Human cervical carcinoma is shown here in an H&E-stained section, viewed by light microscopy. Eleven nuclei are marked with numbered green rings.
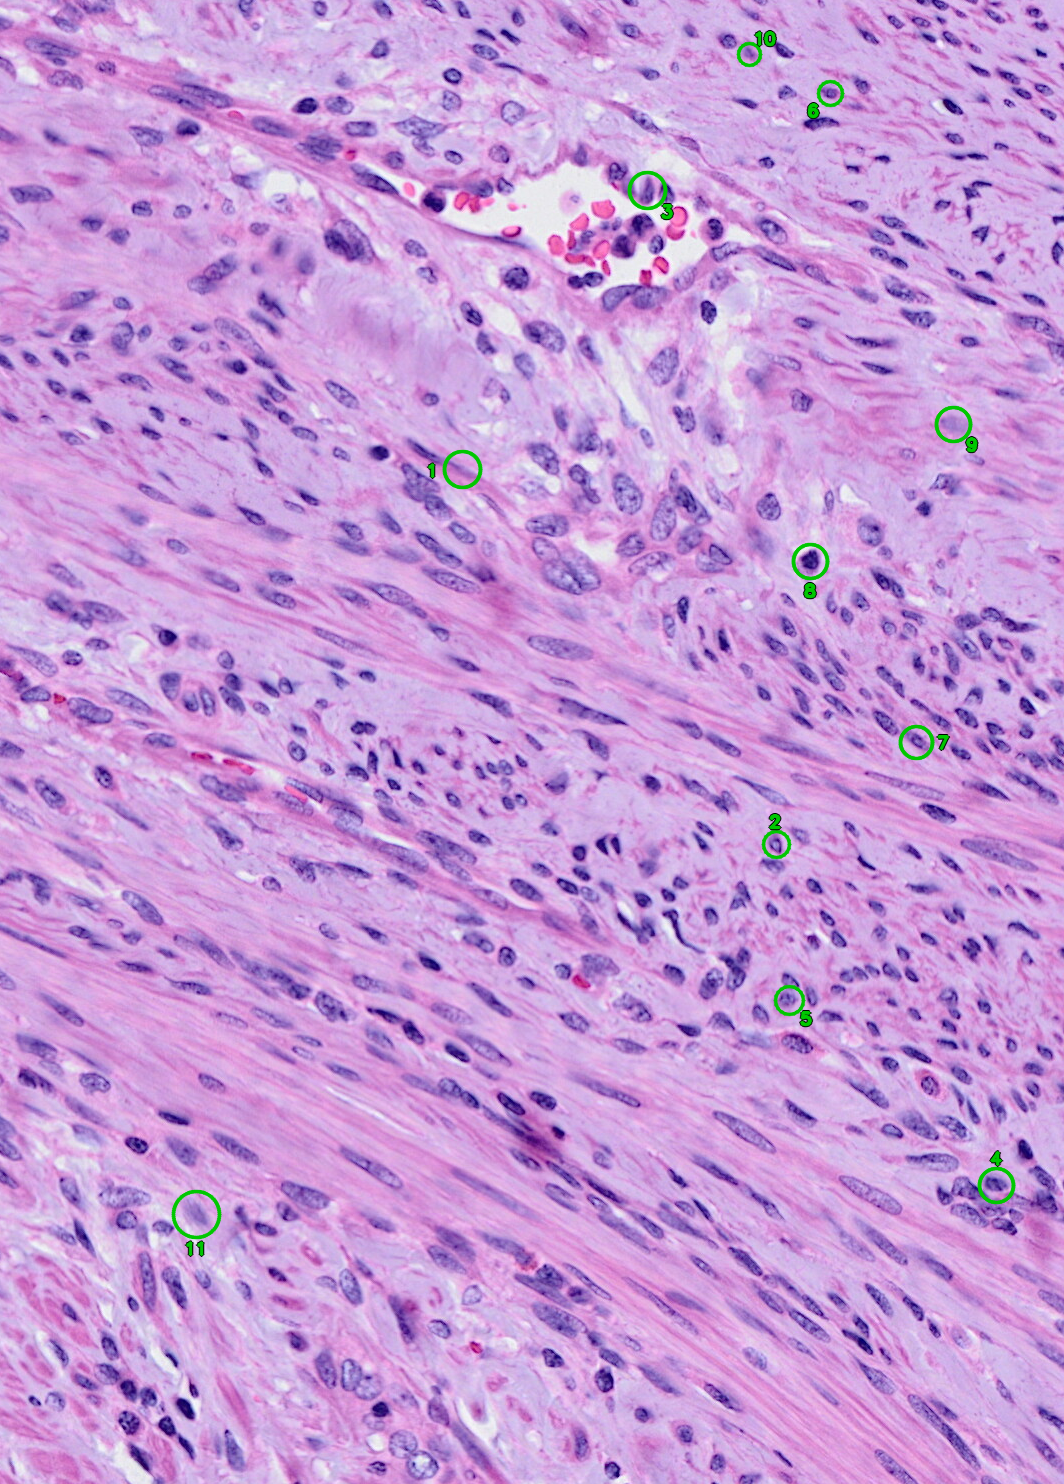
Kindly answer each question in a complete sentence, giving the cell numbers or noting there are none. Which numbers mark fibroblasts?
The nucleus numbered 11 is the only one that belongs to a fibroblast.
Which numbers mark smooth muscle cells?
The cells with the number labels 2, 5, 6, 7, 9 and 10 are smooth muscle cells.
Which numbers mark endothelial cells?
The cells labelled 1 and 3 in this section are endothelial cells.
